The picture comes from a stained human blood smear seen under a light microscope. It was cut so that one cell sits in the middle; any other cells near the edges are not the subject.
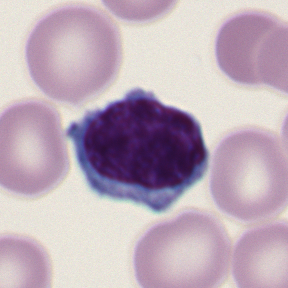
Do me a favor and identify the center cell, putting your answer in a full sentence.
The cell the crop is centered on is a typical lymphocyte.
